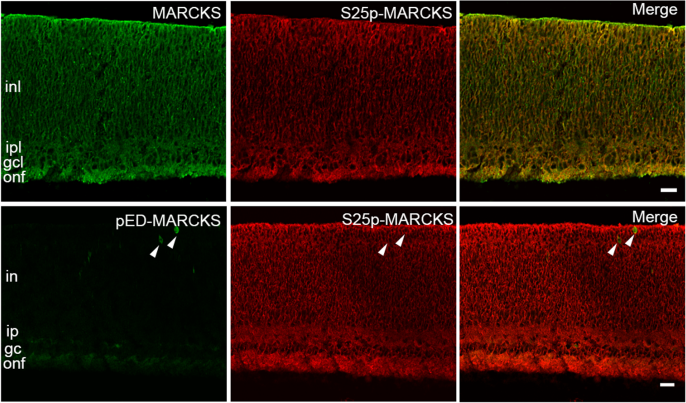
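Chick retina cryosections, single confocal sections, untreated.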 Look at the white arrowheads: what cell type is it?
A: Mitotic cells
